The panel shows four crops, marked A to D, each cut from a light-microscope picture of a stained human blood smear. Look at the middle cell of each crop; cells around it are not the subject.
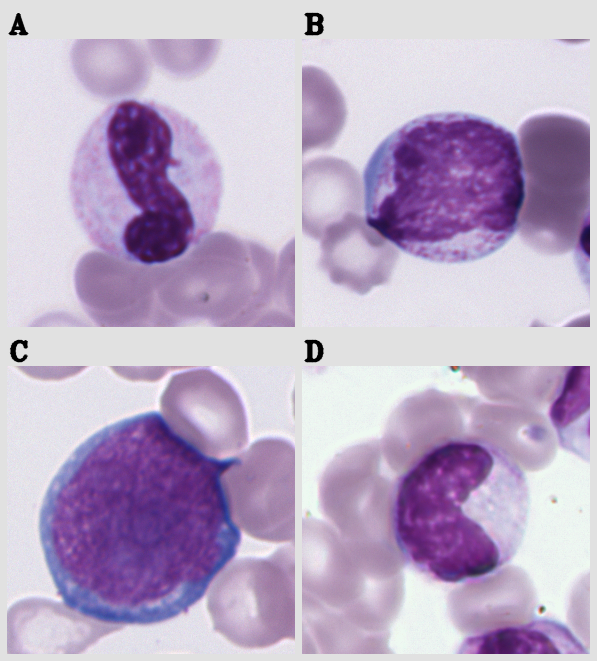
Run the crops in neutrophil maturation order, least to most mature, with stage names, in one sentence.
The cells, arranged from least to most mature, are crop C (a blast), crop B (a myelocyte), crop D (a metamyelocyte) and crop A (a band neutrophil).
